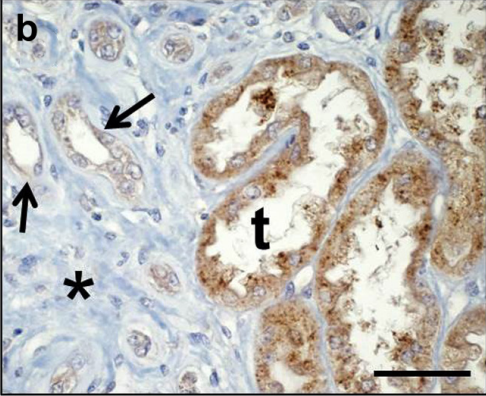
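Renal cortex with large tubules on the right whose epithelial cells carry dense granular brown staining in their cytoplasm around wide lumens. On the left, small tubules lined by a single layer of cuboidal cells with round blue nuclei show only faint brown staining. These small tubules lie widely spaced in pale blue fibrous interstitium containing scattered elongated nuclei.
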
